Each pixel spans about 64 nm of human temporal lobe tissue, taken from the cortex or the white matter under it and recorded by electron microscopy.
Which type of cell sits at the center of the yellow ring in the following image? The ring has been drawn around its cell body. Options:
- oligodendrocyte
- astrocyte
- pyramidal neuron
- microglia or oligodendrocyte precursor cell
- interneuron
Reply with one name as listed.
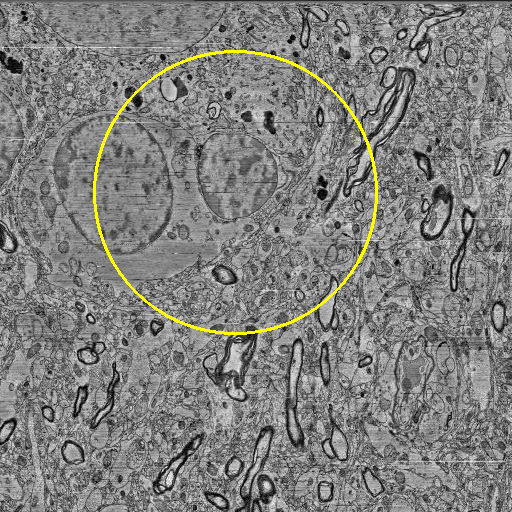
microglia or oligodendrocyte precursor cell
